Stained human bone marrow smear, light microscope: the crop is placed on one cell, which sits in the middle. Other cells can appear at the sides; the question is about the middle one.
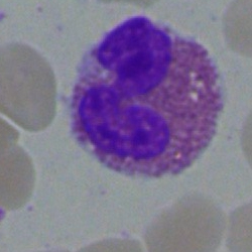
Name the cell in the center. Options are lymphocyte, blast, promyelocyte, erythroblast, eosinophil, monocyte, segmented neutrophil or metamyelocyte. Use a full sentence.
This particular crop is centered on an eosinophil.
